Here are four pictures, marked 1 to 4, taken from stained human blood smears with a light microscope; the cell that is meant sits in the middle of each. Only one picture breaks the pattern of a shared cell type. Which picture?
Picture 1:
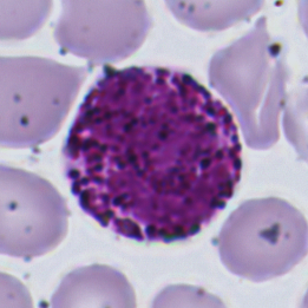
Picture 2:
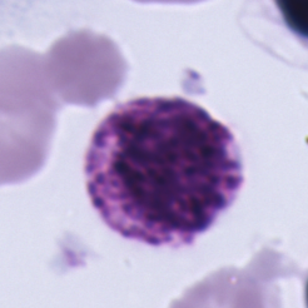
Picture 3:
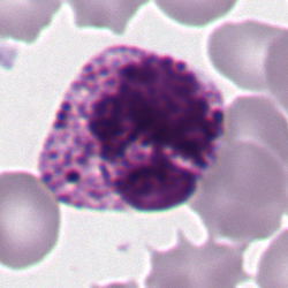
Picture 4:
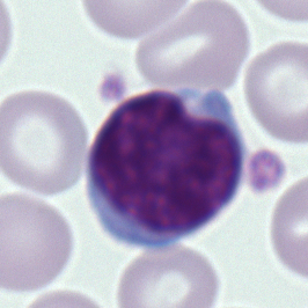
4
